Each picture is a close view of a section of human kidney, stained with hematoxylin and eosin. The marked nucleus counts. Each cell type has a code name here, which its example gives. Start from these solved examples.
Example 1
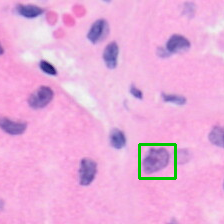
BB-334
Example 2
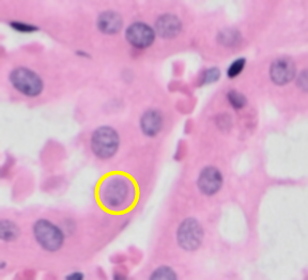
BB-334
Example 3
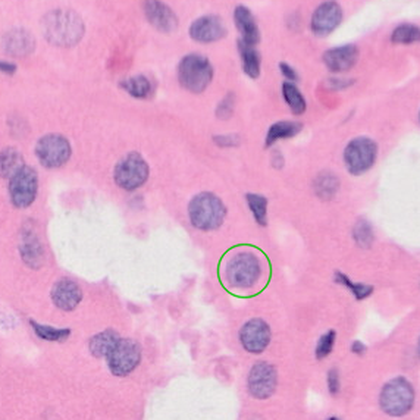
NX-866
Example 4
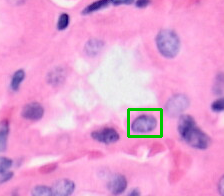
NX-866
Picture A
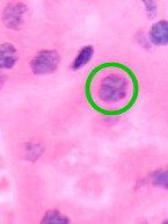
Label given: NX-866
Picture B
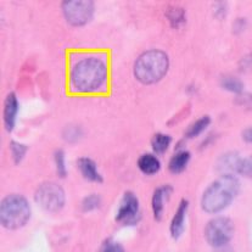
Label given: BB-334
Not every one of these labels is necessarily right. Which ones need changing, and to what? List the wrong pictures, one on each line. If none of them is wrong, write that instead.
Wrong: A (NX-866); correct: BB-334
